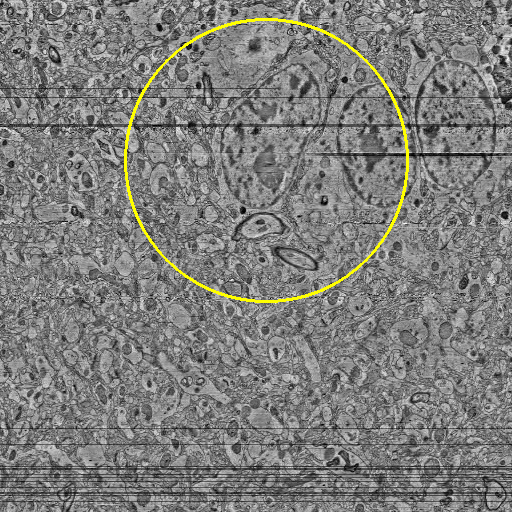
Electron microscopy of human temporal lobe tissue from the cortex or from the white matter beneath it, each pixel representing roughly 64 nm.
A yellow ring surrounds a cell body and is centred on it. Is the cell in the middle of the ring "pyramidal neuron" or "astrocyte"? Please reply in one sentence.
The ring is centred on an astrocyte.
